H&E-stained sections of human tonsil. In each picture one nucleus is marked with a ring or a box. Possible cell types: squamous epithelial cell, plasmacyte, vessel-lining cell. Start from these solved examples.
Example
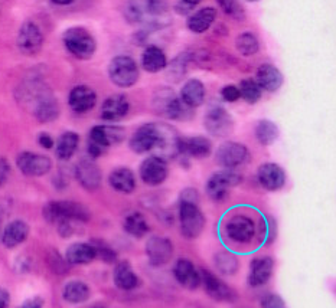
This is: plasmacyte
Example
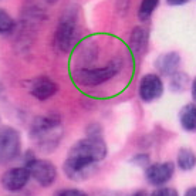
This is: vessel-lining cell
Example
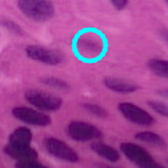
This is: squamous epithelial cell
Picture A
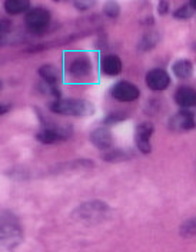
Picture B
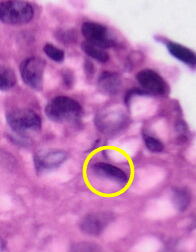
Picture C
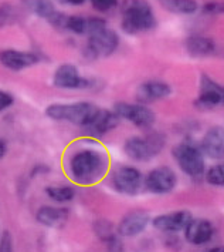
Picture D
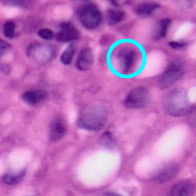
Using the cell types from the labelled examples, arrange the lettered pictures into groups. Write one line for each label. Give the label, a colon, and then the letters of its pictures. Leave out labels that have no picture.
squamous epithelial cell: B, D
plasmacyte: A, C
